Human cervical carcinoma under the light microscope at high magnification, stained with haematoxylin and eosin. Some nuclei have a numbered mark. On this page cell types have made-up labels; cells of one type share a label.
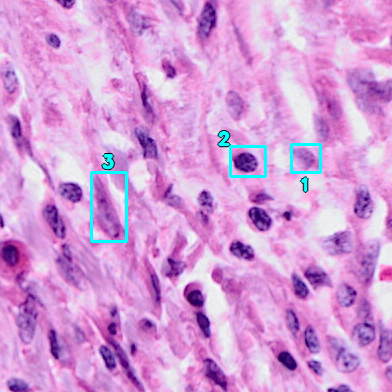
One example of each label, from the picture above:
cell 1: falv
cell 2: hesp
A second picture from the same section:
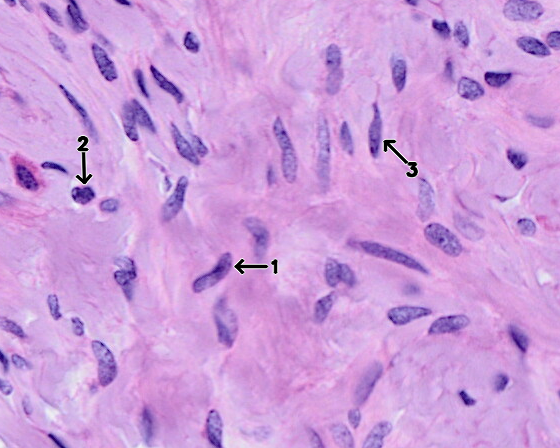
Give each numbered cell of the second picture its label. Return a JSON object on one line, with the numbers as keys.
{"1": "falv", "2": "hesp", "3": "falv"}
